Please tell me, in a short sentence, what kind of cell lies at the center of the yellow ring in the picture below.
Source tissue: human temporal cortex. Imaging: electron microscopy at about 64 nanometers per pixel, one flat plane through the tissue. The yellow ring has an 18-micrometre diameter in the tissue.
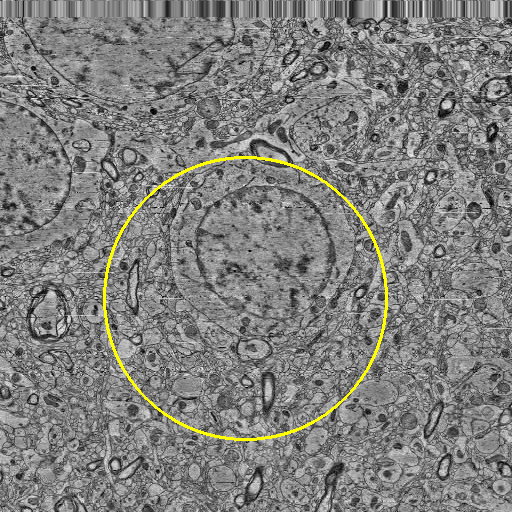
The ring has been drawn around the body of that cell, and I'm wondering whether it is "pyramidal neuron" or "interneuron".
The cell at the center of the ring is an interneuron.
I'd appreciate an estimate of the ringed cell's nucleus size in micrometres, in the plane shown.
Approximately 9 micrometres across, in this plane.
